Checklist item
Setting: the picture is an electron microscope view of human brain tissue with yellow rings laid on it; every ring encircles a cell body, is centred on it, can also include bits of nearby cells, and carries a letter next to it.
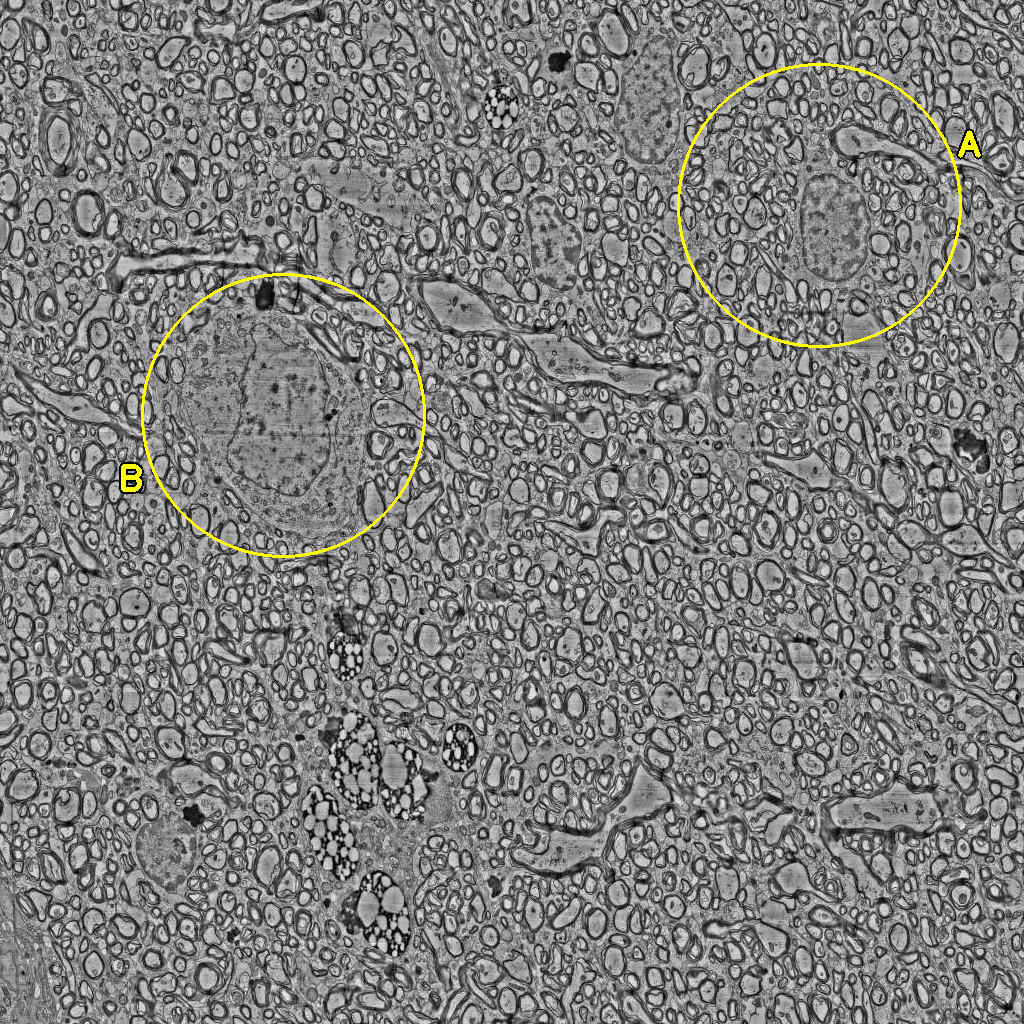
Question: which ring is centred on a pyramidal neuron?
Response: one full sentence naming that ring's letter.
My response is that ring B has the sought cell at its centre.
